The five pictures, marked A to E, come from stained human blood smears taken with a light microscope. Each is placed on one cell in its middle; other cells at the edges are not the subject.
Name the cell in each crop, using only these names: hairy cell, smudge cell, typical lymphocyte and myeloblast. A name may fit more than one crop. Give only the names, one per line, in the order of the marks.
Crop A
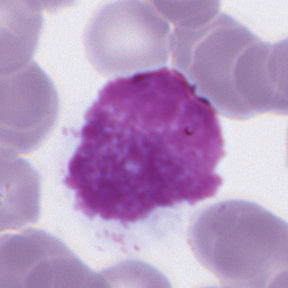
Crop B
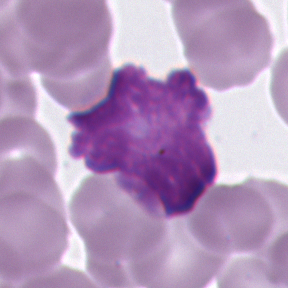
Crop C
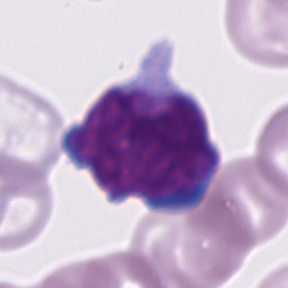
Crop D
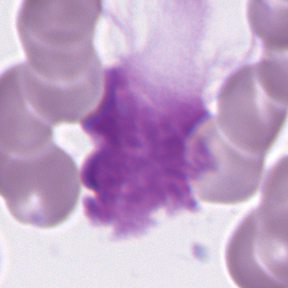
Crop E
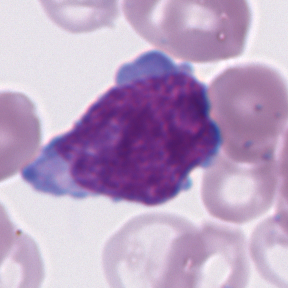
smudge cell
smudge cell
myeloblast
smudge cell
myeloblast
